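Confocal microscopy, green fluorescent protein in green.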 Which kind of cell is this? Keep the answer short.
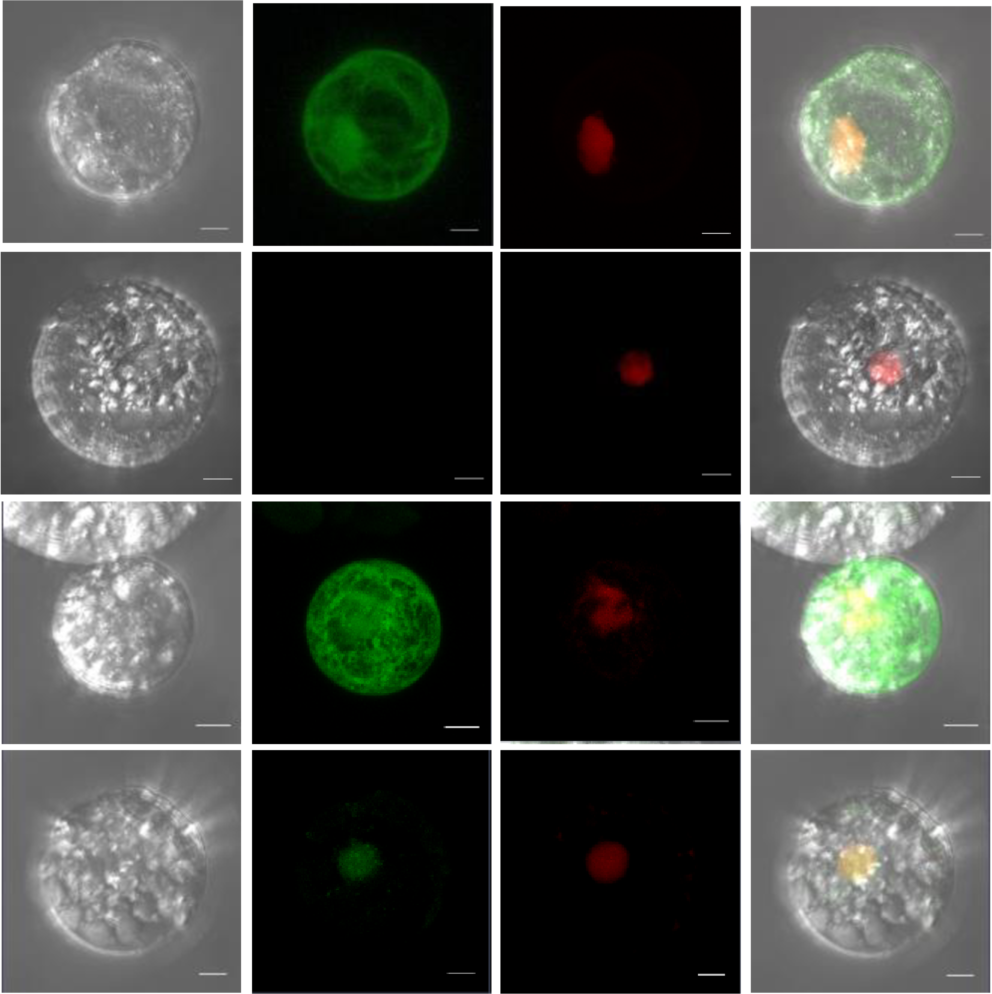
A: protoplasts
